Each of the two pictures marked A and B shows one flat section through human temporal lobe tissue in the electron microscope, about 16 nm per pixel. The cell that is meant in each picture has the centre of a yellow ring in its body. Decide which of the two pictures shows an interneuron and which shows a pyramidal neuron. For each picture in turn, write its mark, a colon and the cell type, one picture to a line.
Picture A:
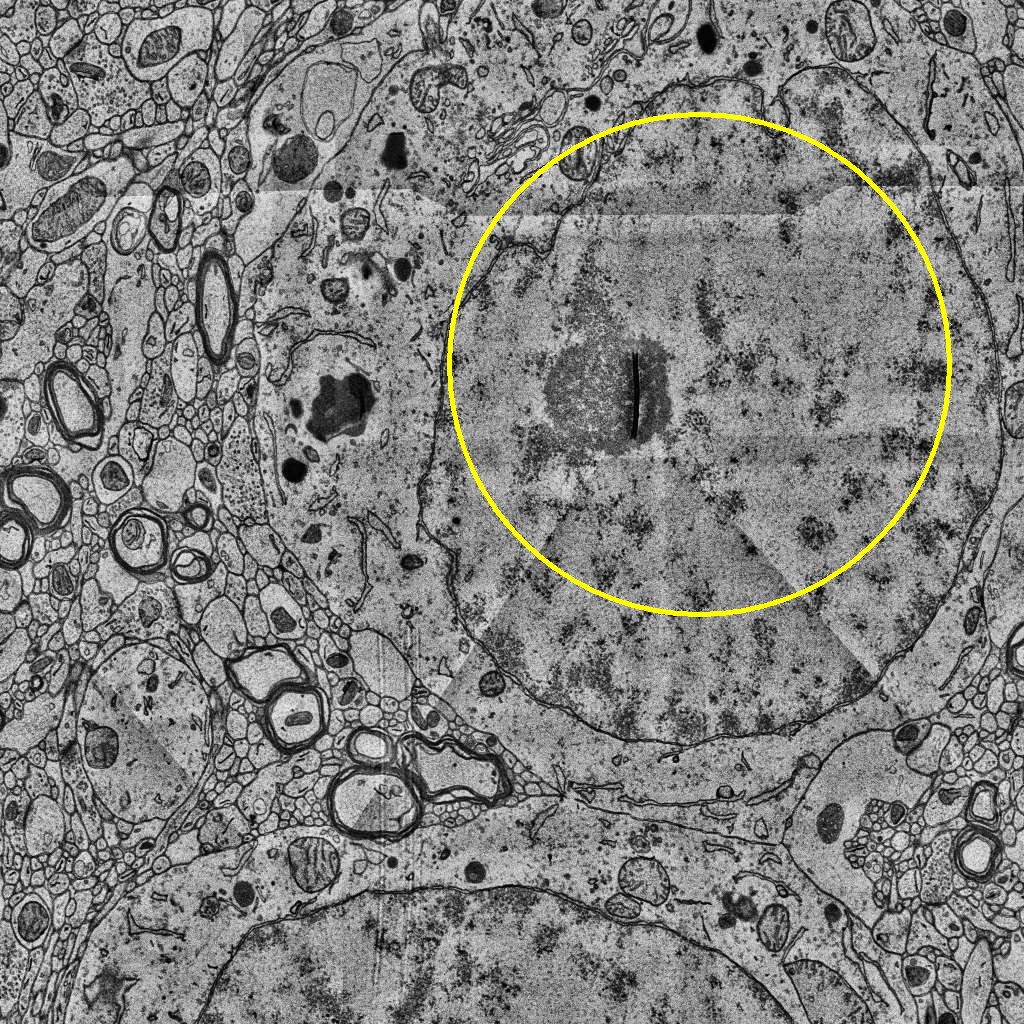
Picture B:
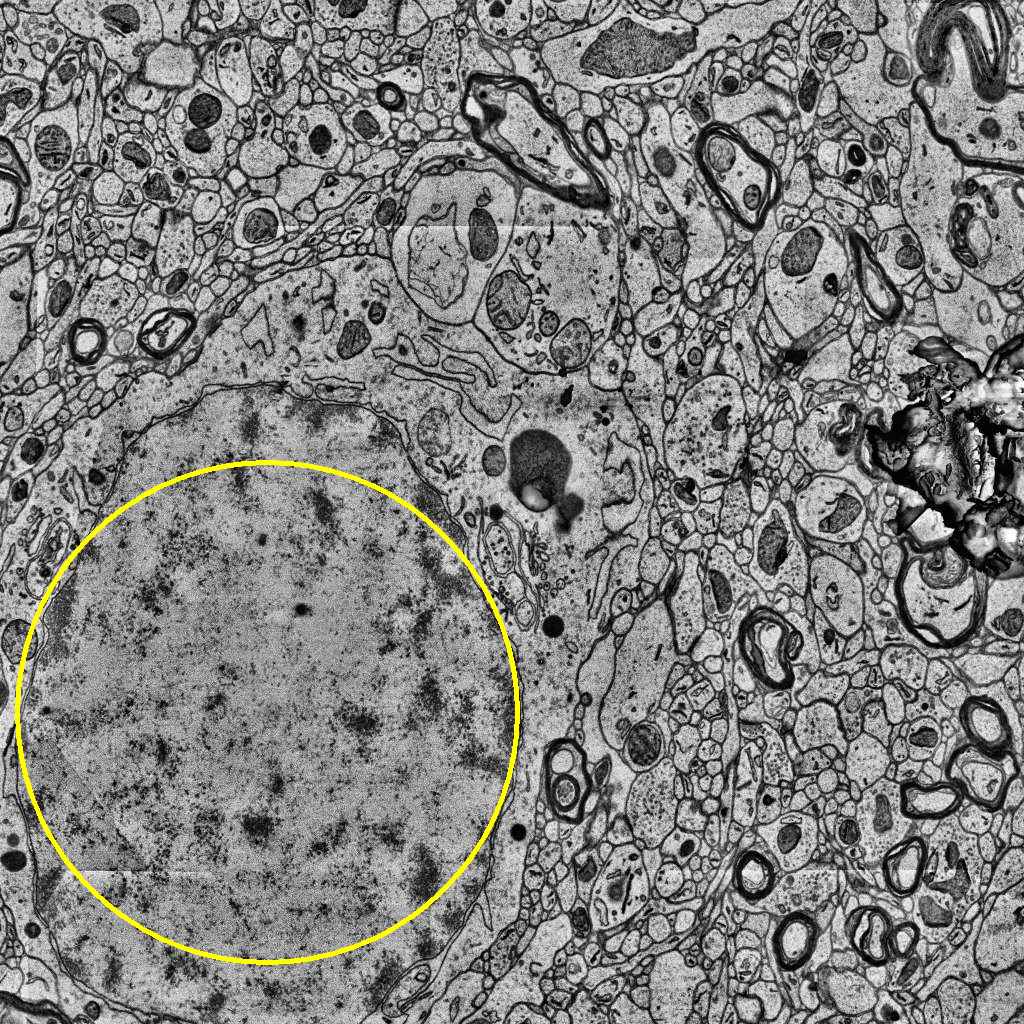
A: pyramidal neuron
B: interneuron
